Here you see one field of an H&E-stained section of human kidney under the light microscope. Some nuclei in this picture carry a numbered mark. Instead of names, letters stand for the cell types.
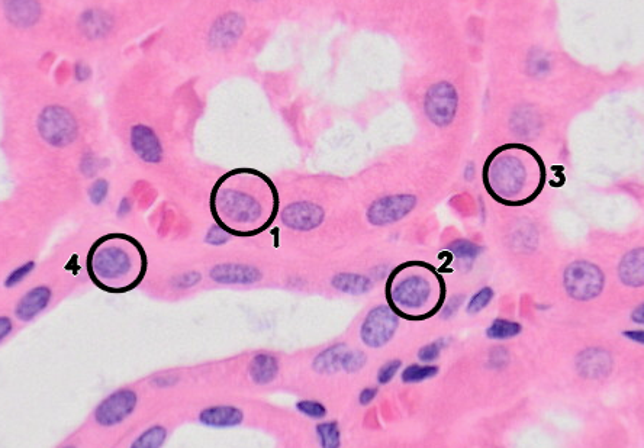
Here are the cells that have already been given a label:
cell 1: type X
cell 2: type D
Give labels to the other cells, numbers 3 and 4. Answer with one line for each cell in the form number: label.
3: type X
4: type D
